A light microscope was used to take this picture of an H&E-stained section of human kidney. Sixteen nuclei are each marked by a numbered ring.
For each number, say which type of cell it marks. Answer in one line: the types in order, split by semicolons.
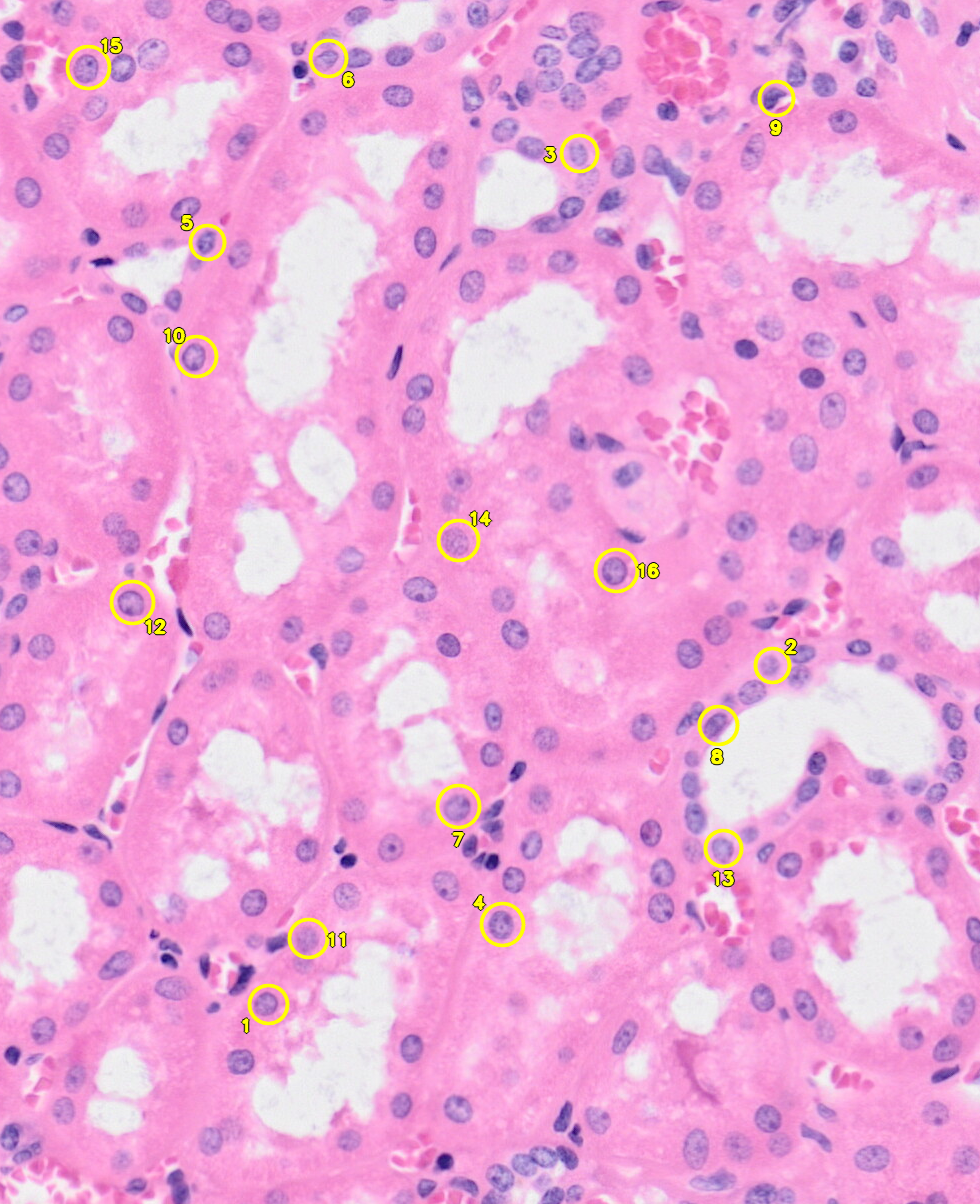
proximal tubule cell; collecting duct cell; collecting duct cell; proximal tubule cell; collecting duct cell; collecting duct cell; proximal tubule cell; collecting duct cell; endothelial cell; proximal tubule cell; proximal tubule cell; proximal tubule cell; collecting duct cell; proximal tubule cell; proximal tubule cell; proximal tubule cell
